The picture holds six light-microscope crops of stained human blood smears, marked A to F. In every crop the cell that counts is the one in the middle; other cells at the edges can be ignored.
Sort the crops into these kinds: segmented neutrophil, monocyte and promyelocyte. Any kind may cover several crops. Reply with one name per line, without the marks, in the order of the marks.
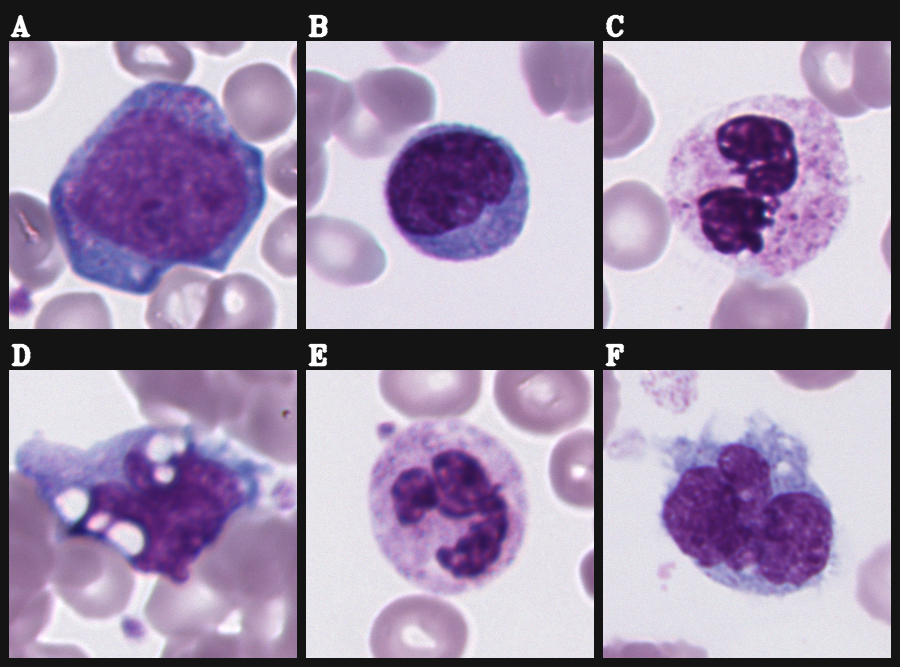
promyelocyte
monocyte
segmented neutrophil
monocyte
segmented neutrophil
monocyte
